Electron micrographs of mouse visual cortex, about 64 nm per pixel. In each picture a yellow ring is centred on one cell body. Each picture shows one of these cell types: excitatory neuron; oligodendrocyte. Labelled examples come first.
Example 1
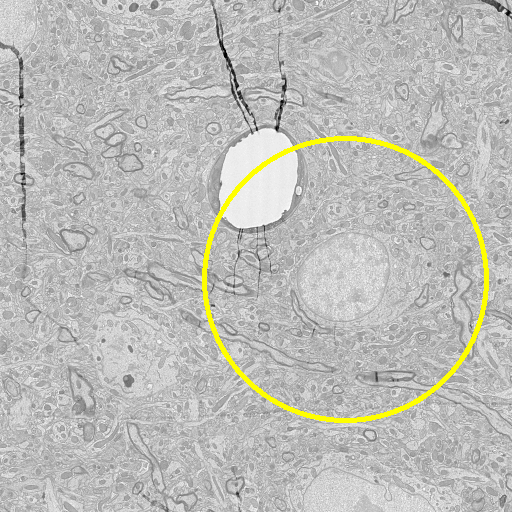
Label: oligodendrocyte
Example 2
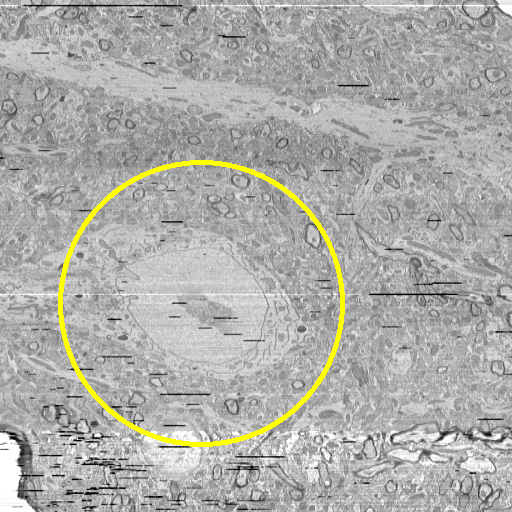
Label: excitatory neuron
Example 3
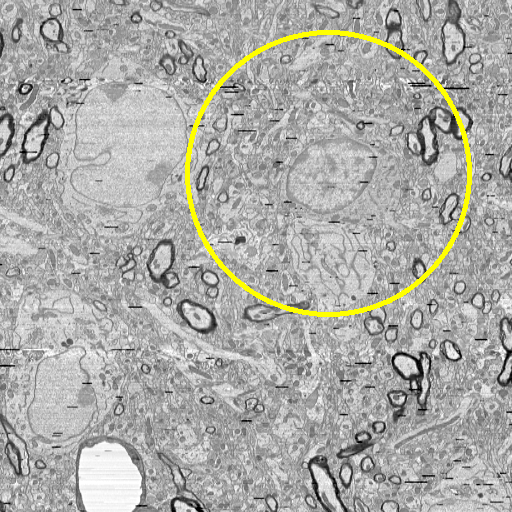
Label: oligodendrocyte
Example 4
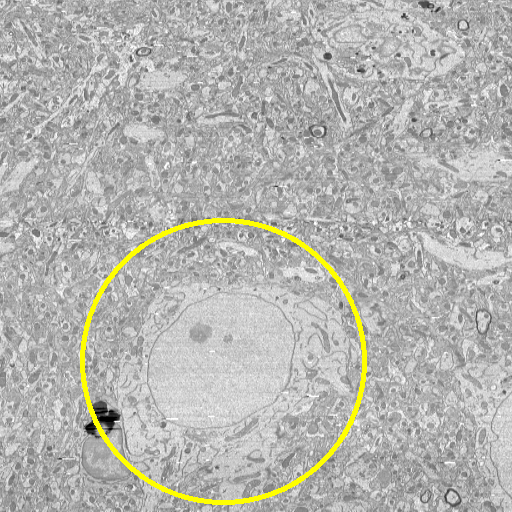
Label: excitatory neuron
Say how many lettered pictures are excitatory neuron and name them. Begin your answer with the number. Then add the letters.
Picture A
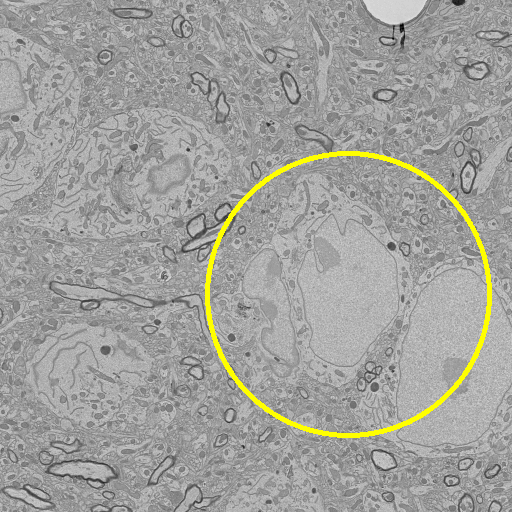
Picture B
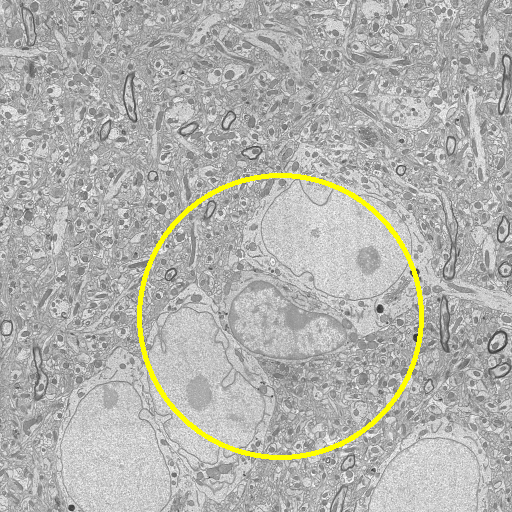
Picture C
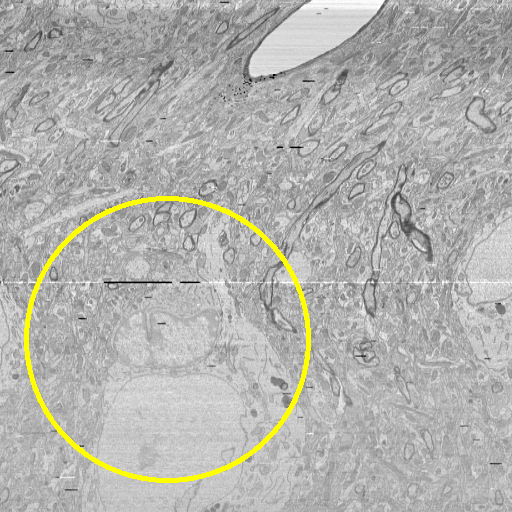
Count: 1 (A)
